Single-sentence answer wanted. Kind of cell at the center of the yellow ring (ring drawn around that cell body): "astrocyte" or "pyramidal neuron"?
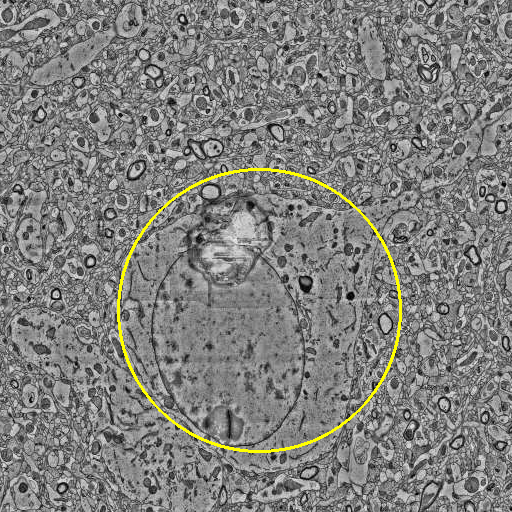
The cell centered in the ring is a pyramidal neuron.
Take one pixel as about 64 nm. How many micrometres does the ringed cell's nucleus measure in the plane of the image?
In this plane, the nucleus of the cell at the centre of the ring measures about 14 by 10 micrometres.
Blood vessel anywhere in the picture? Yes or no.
No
